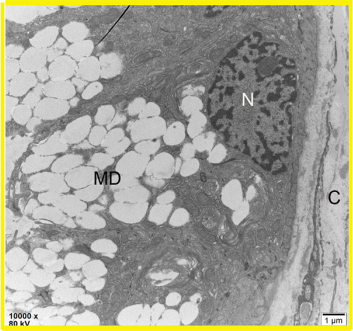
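Gland cells fill most of the field, their cytoplasm crowded with pale, rounded droplets that press against one another on the left. A nucleus with clumped dark chromatin lies near the outer edge of the cells, surrounded by a band of grey cytoplasm with fine membranes. At the right edge a pale band of fibrous material borders the cells. These are mucous acinar cells loaded with mucous droplets, resting on a thin layer of collagen.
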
